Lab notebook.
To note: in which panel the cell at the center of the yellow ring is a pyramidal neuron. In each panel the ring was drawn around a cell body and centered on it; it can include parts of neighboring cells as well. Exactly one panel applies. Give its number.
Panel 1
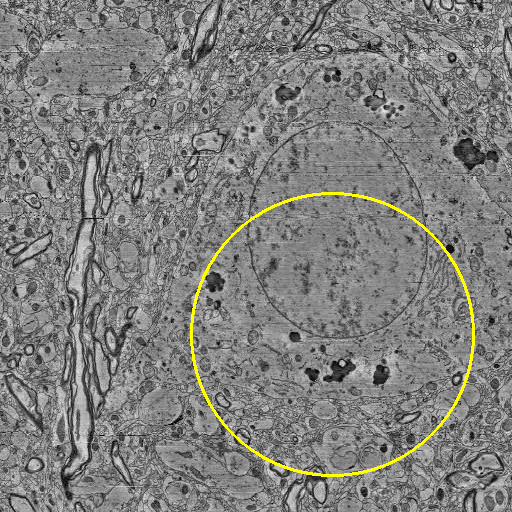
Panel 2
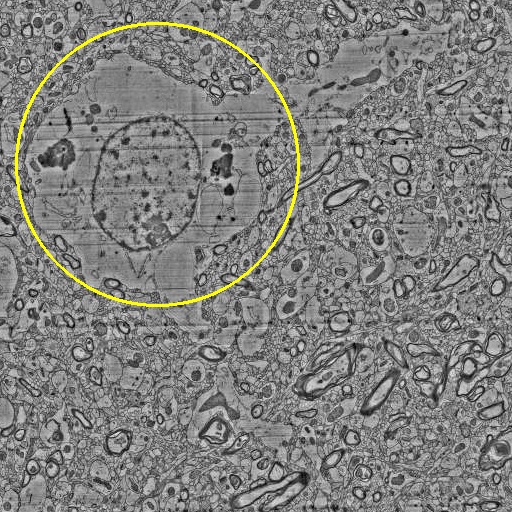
1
